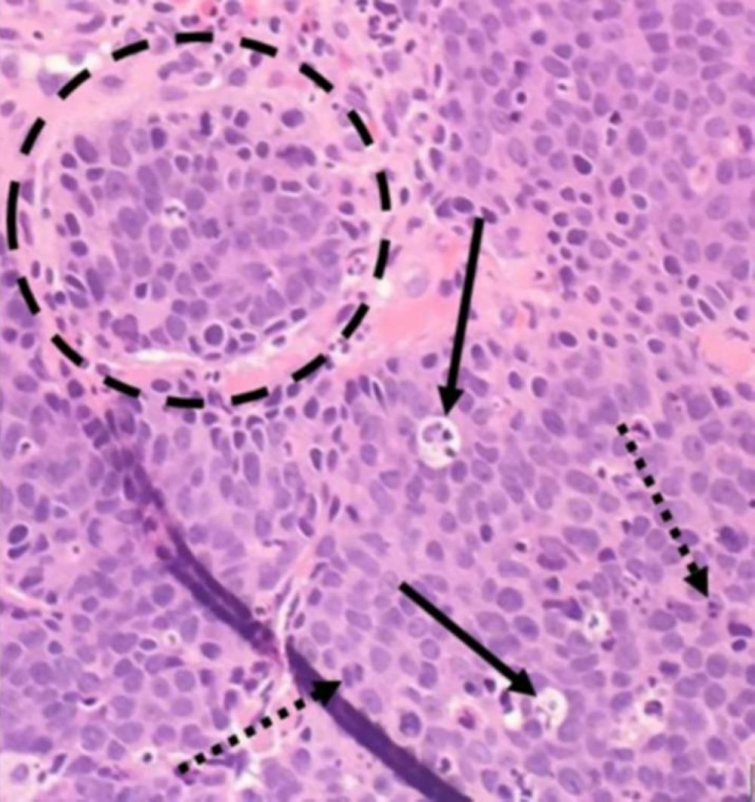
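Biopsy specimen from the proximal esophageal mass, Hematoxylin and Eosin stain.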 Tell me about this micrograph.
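Tumor cells of variable size and shape are crowded in sheets and nests. Their nuclei are dark, hyperchromatic and pleomorphic, set in scant pink-purple cytoplasm. One rounded nest is delimited by a thin pink band of stroma. Scattered among the cells are small rounded bodies with dense fragmented material surrounded by a clear halo, and occasional mitotic figures.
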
